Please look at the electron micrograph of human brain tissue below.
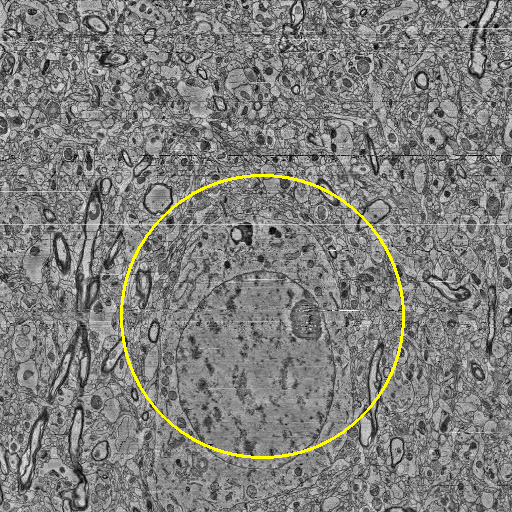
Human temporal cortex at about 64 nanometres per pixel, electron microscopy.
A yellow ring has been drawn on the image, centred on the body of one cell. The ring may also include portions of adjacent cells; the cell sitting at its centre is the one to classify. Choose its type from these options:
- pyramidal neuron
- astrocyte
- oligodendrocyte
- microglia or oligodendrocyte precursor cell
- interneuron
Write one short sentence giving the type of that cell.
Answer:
The cell in the middle of the ring is a pyramidal neuron.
